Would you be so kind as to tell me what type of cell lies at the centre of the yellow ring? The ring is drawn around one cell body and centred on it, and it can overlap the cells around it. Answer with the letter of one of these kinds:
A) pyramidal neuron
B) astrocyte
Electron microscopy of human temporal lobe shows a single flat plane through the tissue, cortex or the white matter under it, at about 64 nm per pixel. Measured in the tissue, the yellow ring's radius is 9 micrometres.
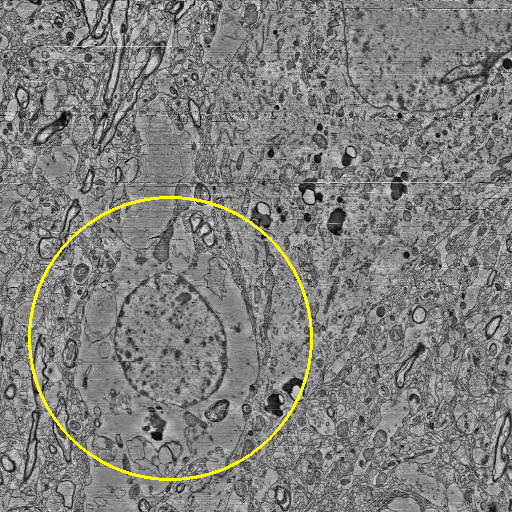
B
